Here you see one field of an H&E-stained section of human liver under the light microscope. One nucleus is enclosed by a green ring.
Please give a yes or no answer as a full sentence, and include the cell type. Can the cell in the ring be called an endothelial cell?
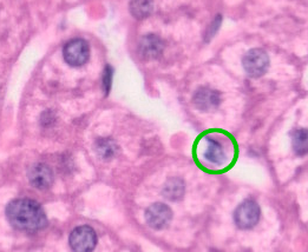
Yes, the identification of the cell in the ring as an endothelial cell stands.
